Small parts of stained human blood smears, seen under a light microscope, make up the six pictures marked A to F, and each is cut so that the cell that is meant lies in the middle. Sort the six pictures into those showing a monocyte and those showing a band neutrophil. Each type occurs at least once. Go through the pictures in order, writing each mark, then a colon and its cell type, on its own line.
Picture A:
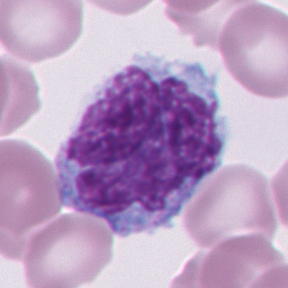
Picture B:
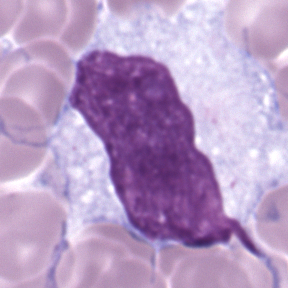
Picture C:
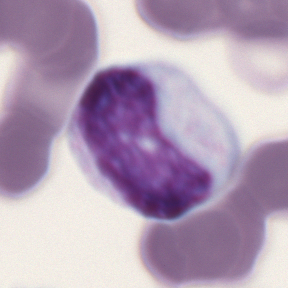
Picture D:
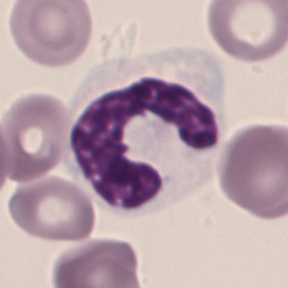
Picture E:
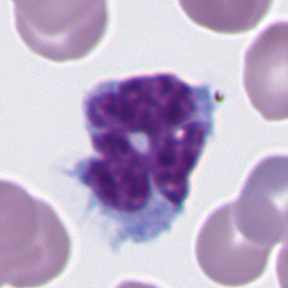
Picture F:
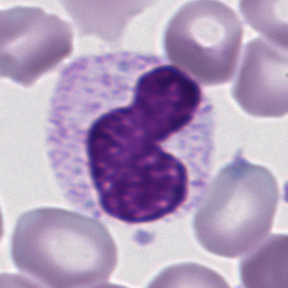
A: monocyte
B: monocyte
C: band neutrophil
D: band neutrophil
E: monocyte
F: band neutrophil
